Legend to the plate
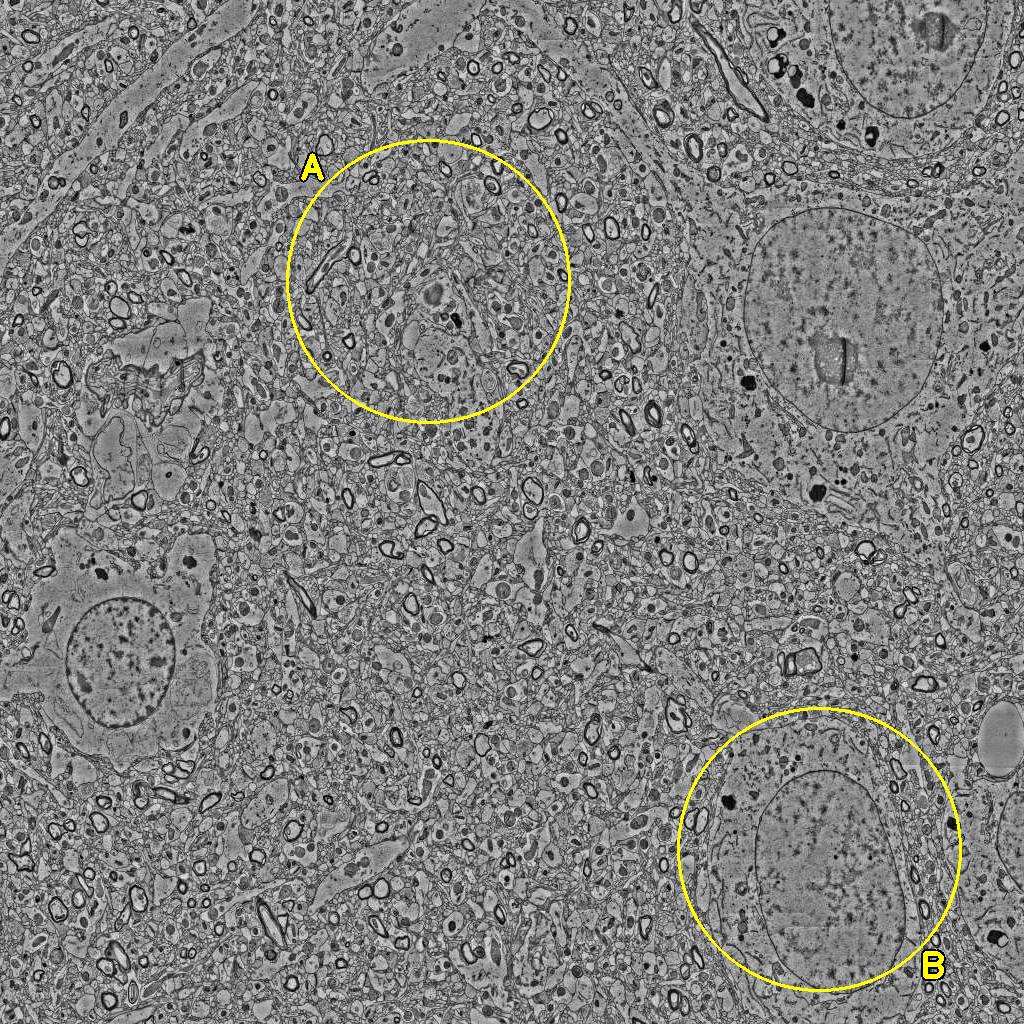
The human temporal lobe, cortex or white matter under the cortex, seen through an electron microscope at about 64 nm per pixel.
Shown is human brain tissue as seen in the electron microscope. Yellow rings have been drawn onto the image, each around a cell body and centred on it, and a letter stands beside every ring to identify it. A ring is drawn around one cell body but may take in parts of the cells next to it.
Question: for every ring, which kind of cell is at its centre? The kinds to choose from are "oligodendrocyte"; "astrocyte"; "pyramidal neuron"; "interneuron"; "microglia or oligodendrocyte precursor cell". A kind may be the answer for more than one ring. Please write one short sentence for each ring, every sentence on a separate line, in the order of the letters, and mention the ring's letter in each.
The kind of cell at the centre of ring A is a microglial cell or oligodendrocyte precursor cell.
The kind of cell at the centre of ring B is a pyramidal neuron.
